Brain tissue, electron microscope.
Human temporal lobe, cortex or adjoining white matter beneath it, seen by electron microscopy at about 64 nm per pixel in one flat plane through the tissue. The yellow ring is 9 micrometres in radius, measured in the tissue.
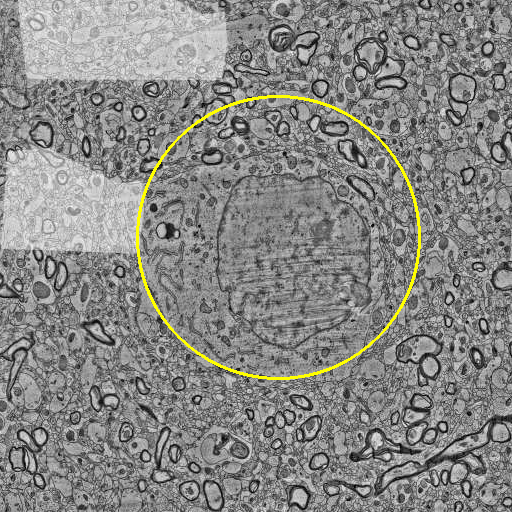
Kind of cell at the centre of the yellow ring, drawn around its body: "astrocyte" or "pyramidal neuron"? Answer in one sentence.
The ring's centre falls on a pyramidal neuron.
